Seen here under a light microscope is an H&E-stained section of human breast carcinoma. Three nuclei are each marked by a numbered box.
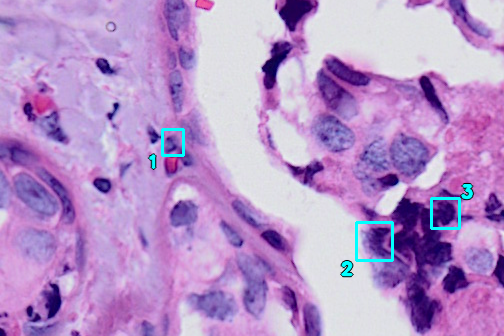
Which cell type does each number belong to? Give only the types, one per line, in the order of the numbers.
endothelial cell
carcinoma cell
carcinoma cell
